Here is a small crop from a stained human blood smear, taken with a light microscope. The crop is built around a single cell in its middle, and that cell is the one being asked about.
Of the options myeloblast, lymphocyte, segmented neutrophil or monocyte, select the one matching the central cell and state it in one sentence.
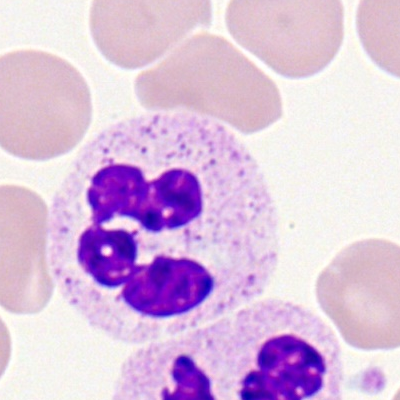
The cell nearest the centre of this crop is a segmented neutrophil.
